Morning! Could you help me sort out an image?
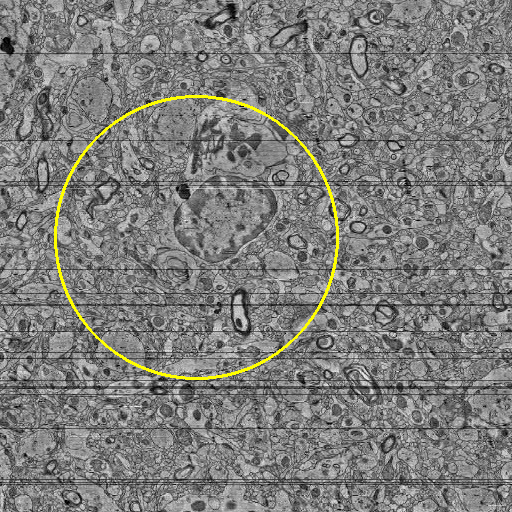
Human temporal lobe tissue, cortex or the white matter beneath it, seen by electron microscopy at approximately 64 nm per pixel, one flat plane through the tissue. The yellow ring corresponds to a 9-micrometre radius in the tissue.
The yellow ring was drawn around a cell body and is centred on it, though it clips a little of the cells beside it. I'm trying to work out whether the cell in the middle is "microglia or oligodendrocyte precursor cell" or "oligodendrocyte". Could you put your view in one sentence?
The ringed cell body is that of a microglial cell or oligodendrocyte precursor cell.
